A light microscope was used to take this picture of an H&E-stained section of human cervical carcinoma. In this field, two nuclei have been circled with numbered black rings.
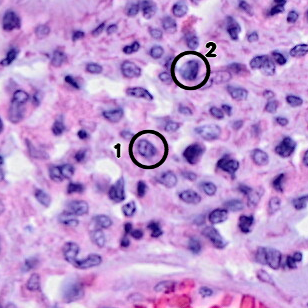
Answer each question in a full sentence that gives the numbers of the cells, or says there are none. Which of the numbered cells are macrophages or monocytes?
The nucleus numbered 1 is the only one that belongs to a macrophage or monocyte.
